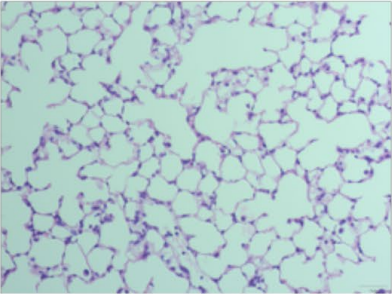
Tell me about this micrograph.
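The field is filled with many small, roughly polygonal air spaces packed closely together, each bounded by thin pink septal walls. Purple nuclei lie along these walls, scattered fairly densely, giving the septa a dotted look. A few larger open spaces cross the field, likely alveolar ducts, but most of the area is subdivided into numerous small alveoli, so the tissue looks finely partitioned and dense with walls.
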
